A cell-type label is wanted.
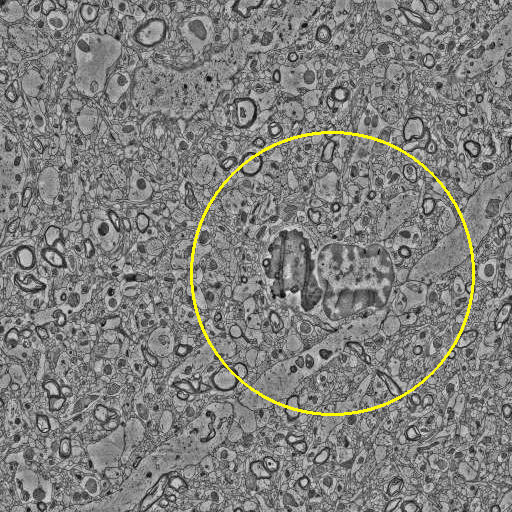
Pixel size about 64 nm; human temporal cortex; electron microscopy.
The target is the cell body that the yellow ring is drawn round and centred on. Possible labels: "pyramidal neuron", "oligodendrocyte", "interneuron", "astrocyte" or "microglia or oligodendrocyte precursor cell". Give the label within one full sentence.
Of the labels offered, the cell in the middle of the yellow ring is a microglial cell or oligodendrocyte precursor cell.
